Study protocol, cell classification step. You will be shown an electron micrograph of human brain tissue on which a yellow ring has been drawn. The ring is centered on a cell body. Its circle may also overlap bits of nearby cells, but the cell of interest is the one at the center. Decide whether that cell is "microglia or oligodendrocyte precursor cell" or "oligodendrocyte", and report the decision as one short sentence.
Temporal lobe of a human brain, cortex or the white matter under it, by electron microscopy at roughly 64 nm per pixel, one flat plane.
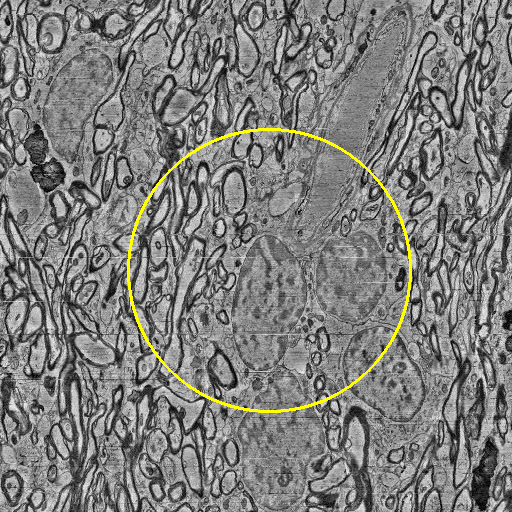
The marked cell is a microglial cell or oligodendrocyte precursor cell.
